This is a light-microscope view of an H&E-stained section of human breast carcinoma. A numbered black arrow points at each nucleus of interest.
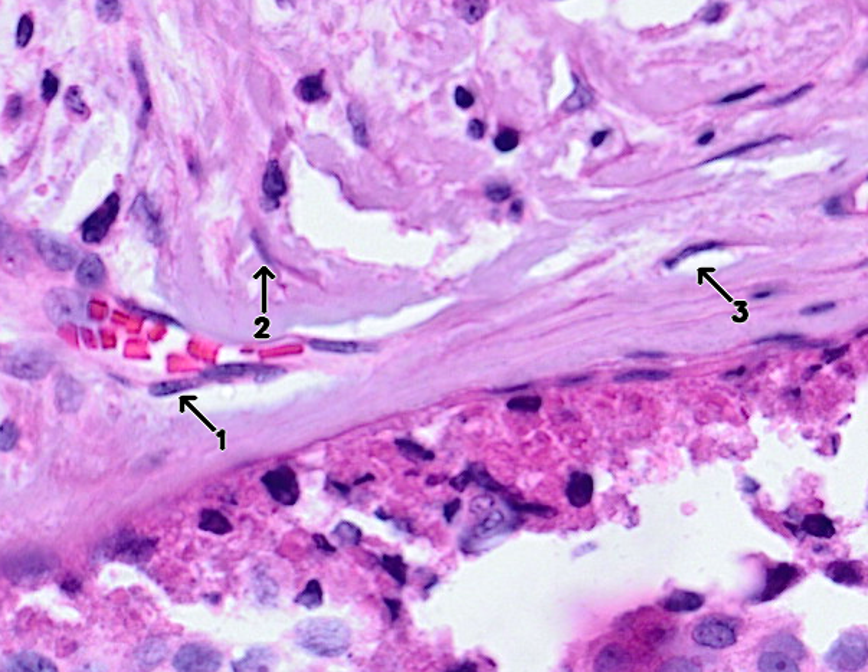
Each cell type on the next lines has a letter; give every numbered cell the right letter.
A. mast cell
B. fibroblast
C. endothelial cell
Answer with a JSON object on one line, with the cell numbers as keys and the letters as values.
{"1": "C", "2": "B", "3": "B"}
